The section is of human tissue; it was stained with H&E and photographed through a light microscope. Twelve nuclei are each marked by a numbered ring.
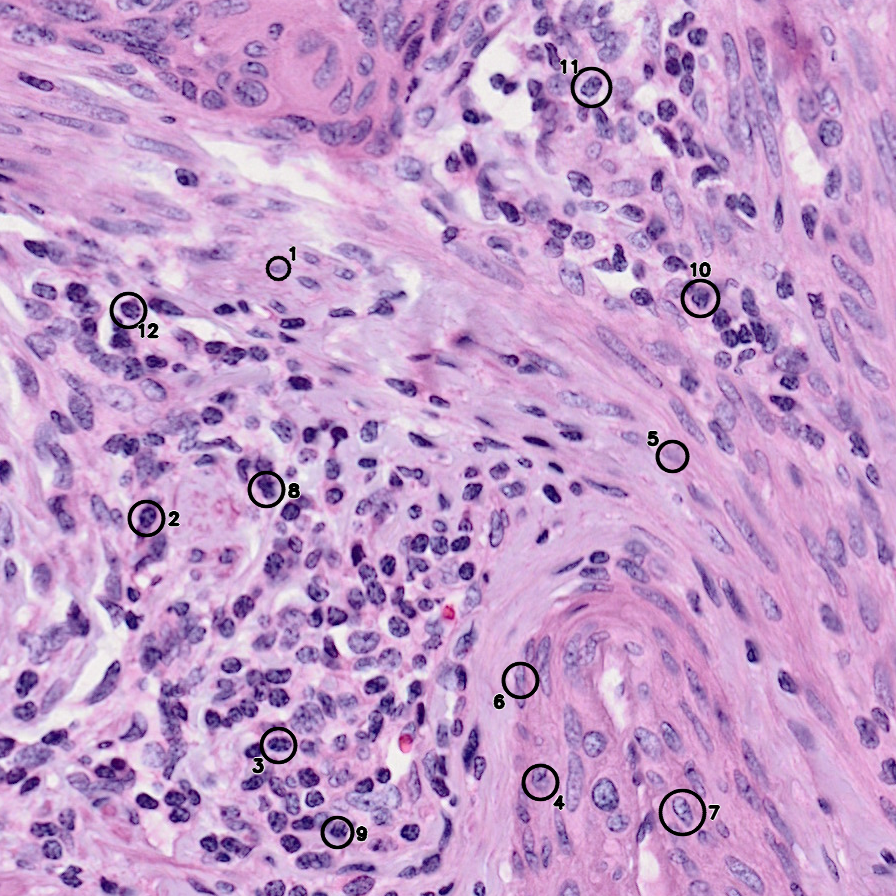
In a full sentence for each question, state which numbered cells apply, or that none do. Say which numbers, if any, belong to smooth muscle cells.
The cells carrying labels 1, 4, 5, 6 and 7 are smooth muscle cells.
